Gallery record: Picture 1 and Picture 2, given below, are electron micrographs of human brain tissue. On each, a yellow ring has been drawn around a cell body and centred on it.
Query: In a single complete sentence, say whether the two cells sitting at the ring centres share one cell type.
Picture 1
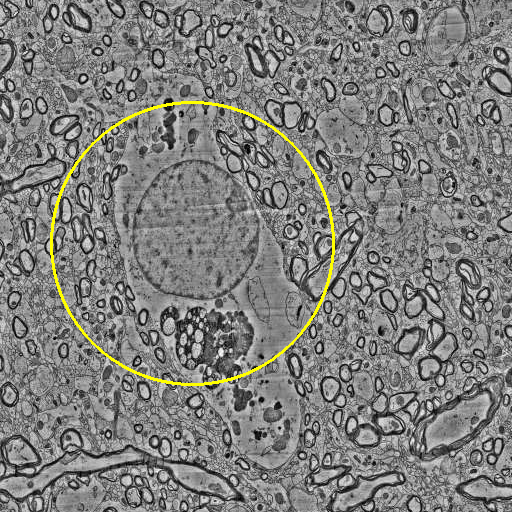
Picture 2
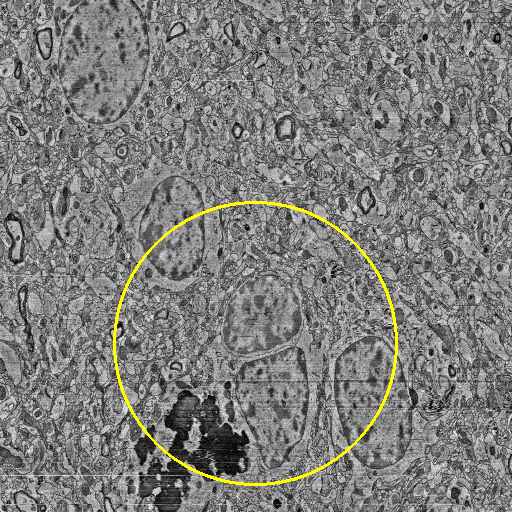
No, in the two pictures the cells at the rings' centres are of two separate types.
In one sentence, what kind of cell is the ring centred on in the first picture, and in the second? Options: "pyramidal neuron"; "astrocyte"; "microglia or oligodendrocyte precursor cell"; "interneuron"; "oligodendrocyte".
The cell at the centre of the second ring is a microglial cell or oligodendrocyte precursor cell; the first ring's cell is an astrocyte.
